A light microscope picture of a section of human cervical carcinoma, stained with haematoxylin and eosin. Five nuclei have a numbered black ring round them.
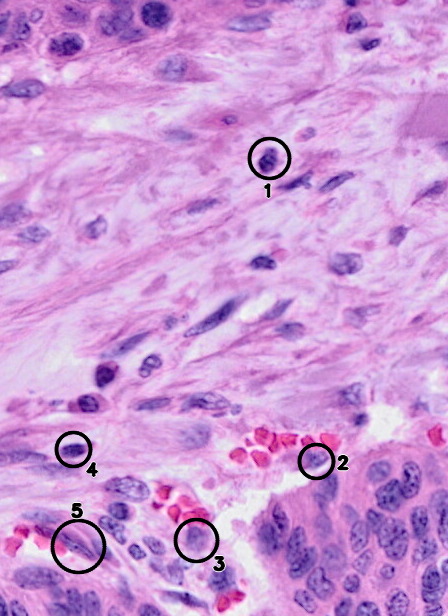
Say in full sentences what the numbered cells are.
Cells 1 and 4 are lymphocytes. Cells 2, 3 and 5 are endothelial cells.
